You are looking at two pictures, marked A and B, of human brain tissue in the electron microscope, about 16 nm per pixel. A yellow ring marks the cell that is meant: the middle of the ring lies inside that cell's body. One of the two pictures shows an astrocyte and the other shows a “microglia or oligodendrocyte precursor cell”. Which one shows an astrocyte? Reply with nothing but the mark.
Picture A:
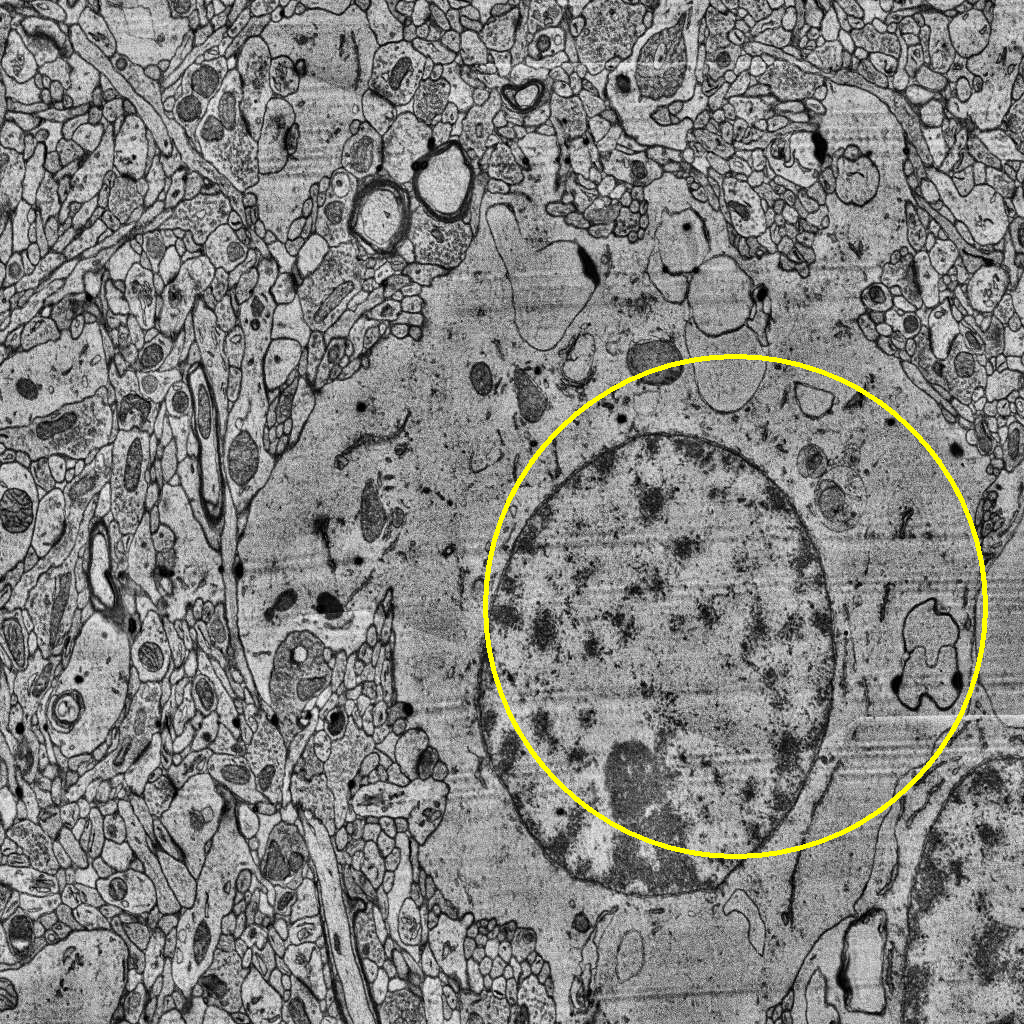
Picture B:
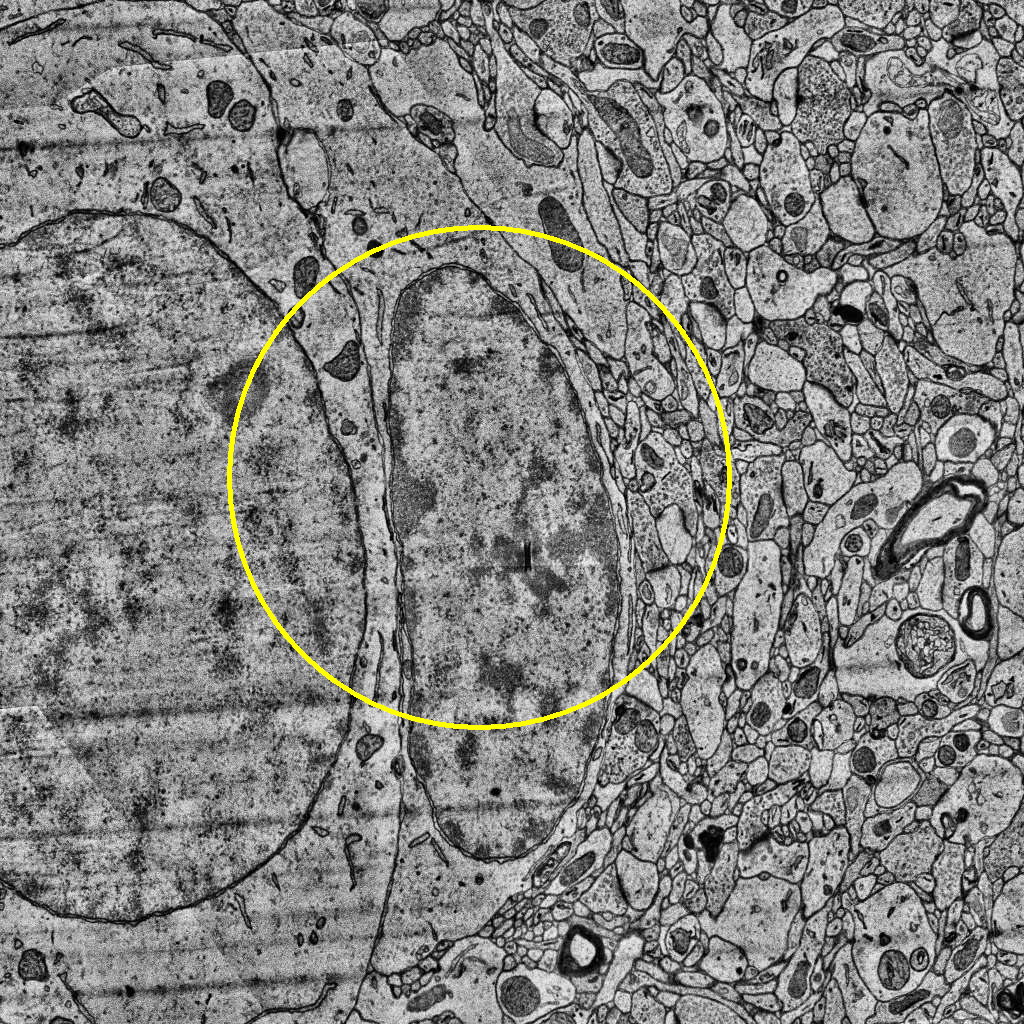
A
